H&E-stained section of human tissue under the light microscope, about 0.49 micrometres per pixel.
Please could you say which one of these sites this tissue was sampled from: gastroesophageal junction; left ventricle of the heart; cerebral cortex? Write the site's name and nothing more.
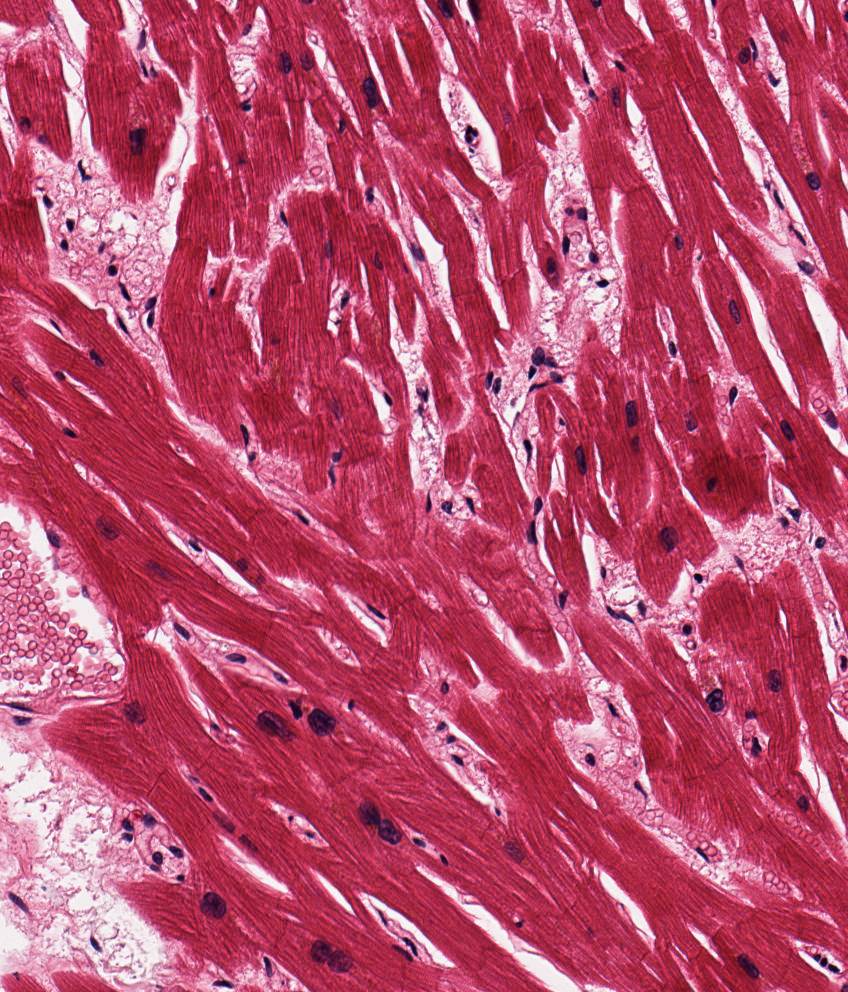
left ventricle of the heart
